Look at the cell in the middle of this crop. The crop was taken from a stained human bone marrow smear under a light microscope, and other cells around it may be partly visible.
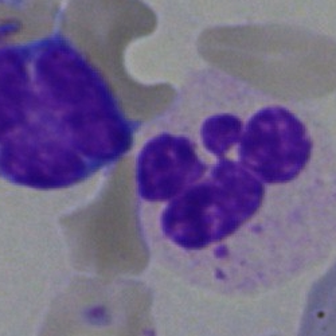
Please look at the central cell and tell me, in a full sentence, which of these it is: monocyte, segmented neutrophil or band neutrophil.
The centered cell in this crop is a segmented neutrophil.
